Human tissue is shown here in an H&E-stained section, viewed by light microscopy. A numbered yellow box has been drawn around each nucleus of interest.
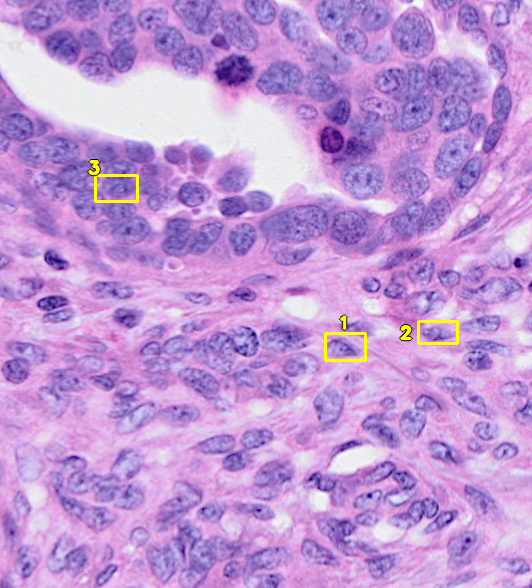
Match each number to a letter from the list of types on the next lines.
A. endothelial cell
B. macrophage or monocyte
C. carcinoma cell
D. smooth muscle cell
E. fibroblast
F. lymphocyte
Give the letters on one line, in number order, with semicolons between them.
E; E; C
